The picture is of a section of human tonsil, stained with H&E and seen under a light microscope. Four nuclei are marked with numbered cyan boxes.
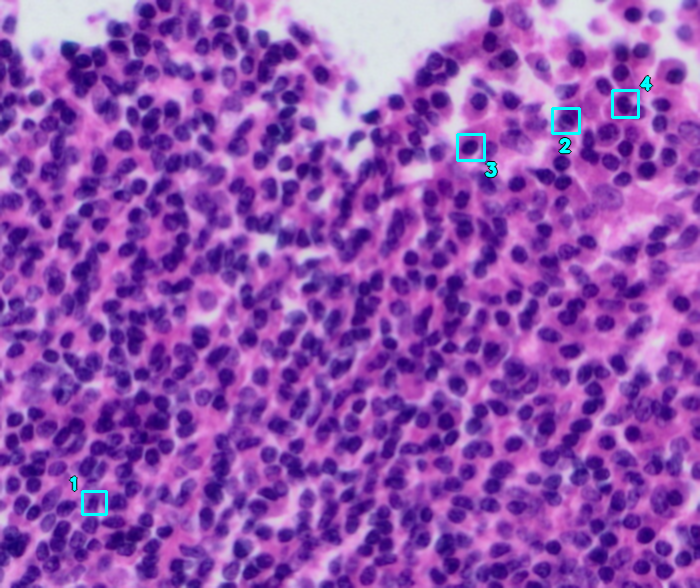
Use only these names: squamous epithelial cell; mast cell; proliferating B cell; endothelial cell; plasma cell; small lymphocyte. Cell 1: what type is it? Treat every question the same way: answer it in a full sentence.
The expected answer is that cell 1 is a small lymphocyte.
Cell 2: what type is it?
The cell that carries the label 2 is a plasma cell.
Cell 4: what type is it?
At number 4, the marked cell is a plasma cell.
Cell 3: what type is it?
The cell numbered 3 represents a plasma cell.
